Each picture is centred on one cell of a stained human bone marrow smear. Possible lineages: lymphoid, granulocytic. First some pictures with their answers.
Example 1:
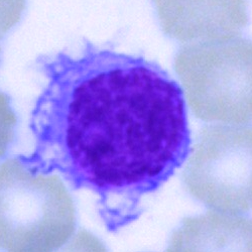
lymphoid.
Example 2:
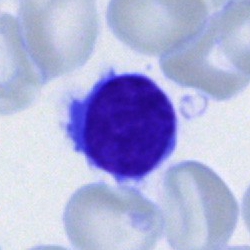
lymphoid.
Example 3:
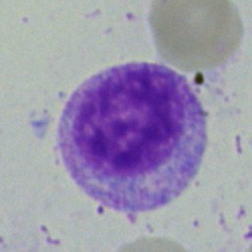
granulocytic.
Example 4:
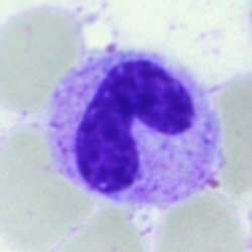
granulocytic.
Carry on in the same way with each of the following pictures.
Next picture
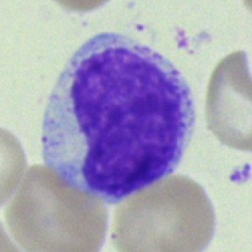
granulocytic.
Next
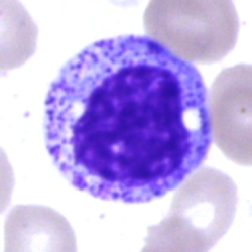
granulocytic.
